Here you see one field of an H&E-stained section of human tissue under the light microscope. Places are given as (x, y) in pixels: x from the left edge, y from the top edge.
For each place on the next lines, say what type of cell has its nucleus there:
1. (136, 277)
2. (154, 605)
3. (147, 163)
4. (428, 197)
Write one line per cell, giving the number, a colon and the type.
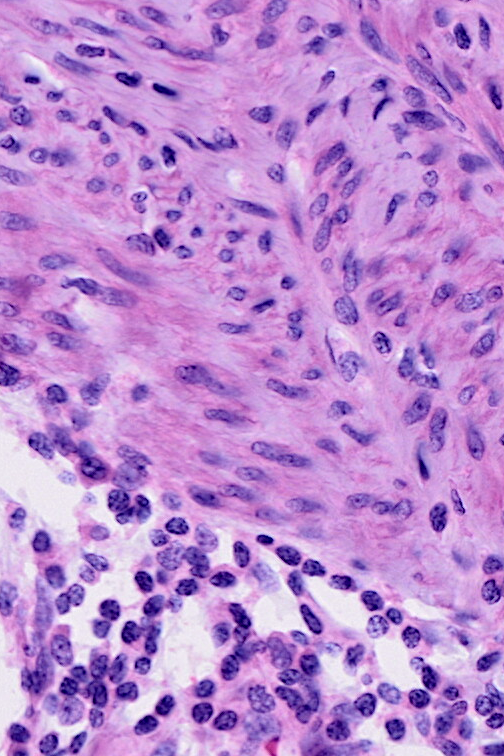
1: smooth muscle cell
2: lymphocyte
3: smooth muscle cell
4: smooth muscle cell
